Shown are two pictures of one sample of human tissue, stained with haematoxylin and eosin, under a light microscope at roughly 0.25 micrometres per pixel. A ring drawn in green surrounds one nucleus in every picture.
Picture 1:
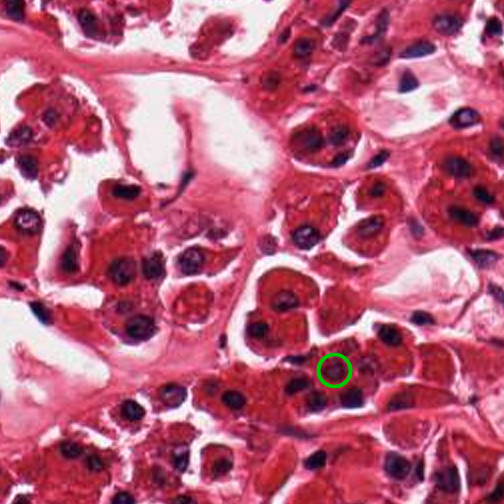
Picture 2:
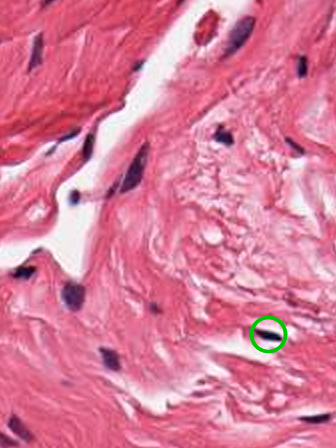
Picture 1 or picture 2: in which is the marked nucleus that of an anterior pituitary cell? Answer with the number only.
1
